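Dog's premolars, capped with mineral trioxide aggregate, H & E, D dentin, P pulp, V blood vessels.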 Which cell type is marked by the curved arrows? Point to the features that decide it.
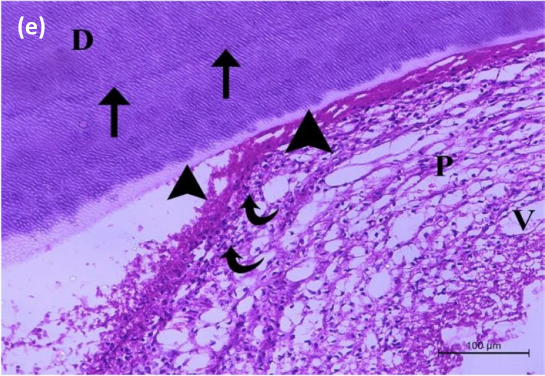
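The curved arrows point to a dense cluster of small dark round nuclei in the pulp beneath the dentin. These small round cells stand out against the loose, spongy connective tissue.
Hence: chronic inflammatory cells.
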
